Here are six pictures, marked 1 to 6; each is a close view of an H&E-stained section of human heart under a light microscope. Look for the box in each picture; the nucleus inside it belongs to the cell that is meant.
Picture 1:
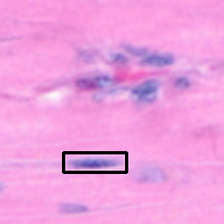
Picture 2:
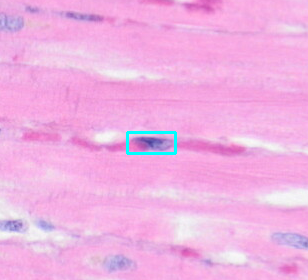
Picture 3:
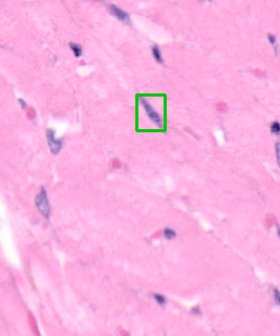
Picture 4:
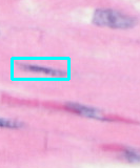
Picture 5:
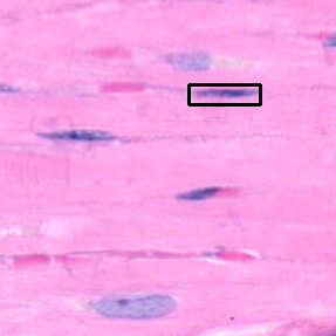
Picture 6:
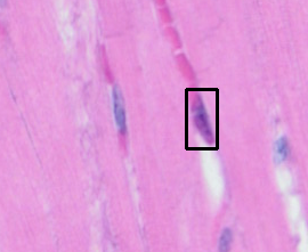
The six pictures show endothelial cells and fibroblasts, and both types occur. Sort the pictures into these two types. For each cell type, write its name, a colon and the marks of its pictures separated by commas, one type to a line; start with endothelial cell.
endothelial cell: 1, 2, 5, 6
fibroblast: 3, 4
